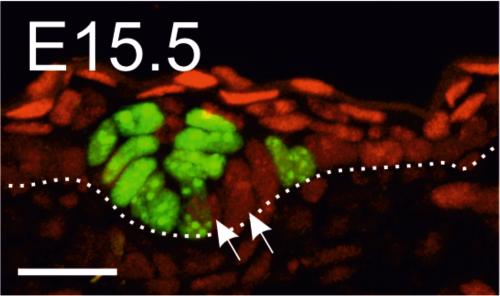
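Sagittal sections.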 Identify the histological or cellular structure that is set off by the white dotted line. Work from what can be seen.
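Basement membrane. The dotted line runs along the lower border of the epithelium and the bulging bud. Densely packed epithelial nuclei lie above it and scattered cells below.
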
